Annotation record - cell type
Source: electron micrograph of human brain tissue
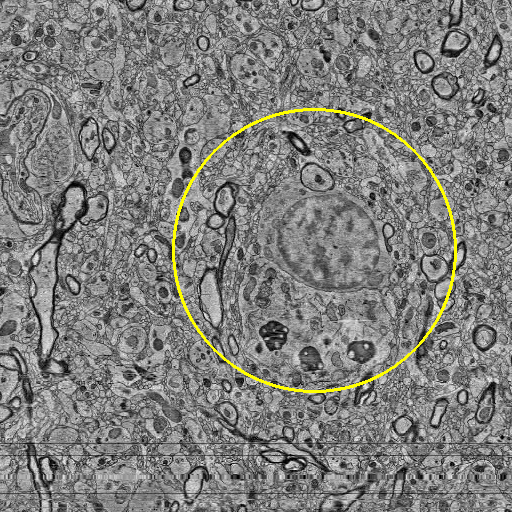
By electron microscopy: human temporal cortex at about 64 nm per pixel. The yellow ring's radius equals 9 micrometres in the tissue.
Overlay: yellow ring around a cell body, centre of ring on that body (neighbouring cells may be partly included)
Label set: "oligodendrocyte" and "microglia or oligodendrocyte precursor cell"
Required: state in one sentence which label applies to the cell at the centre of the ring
This cell should be labelled as an oligodendrocyte.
